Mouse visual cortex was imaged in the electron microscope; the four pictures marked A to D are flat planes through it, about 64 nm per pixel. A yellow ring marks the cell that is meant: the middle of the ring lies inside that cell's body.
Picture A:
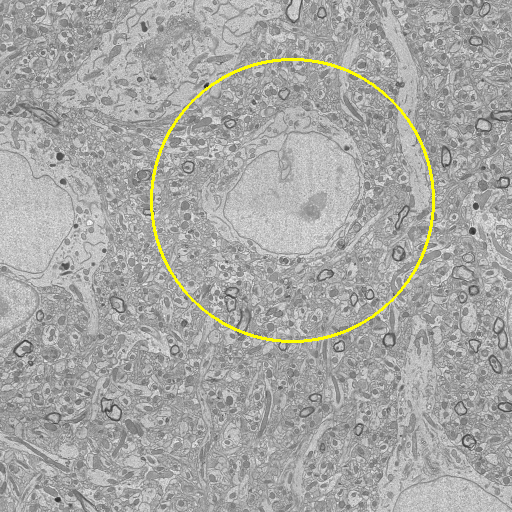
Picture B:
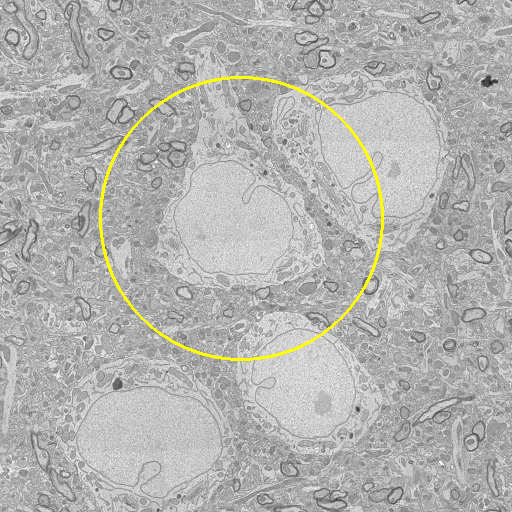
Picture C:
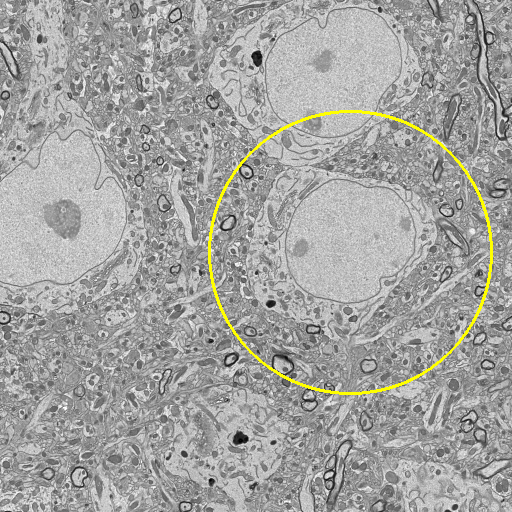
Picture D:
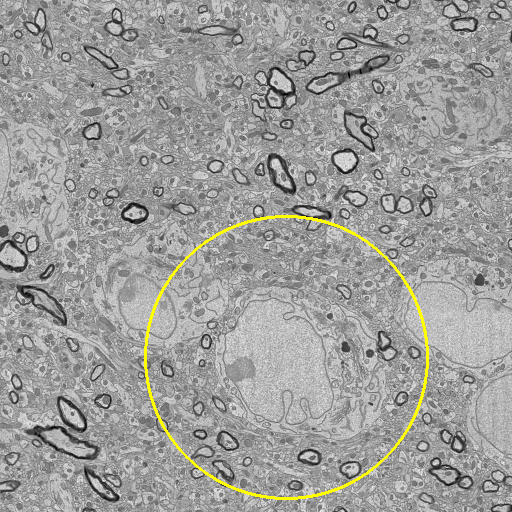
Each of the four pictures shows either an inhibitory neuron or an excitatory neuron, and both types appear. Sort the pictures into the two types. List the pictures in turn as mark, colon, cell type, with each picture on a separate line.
A: inhibitory neuron
B: excitatory neuron
C: excitatory neuron
D: inhibitory neuron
